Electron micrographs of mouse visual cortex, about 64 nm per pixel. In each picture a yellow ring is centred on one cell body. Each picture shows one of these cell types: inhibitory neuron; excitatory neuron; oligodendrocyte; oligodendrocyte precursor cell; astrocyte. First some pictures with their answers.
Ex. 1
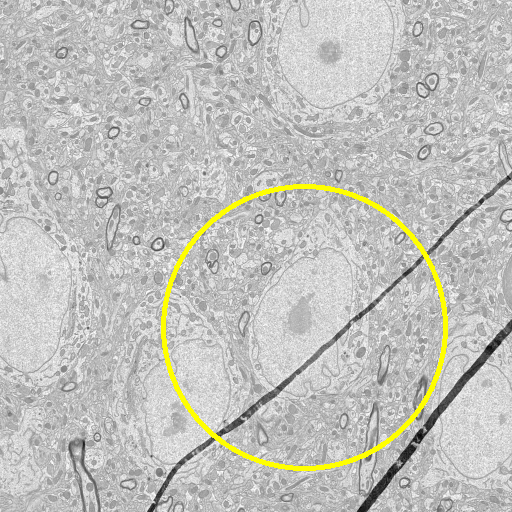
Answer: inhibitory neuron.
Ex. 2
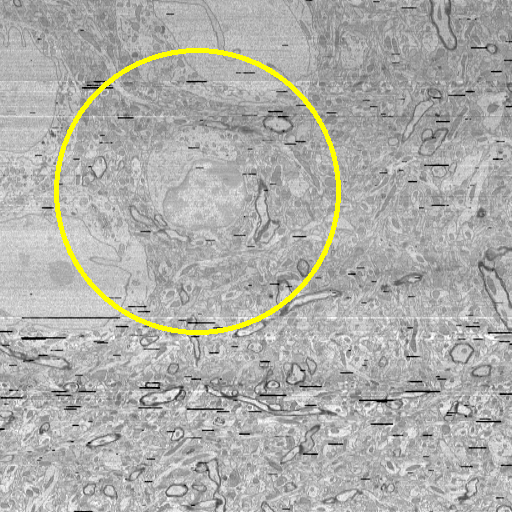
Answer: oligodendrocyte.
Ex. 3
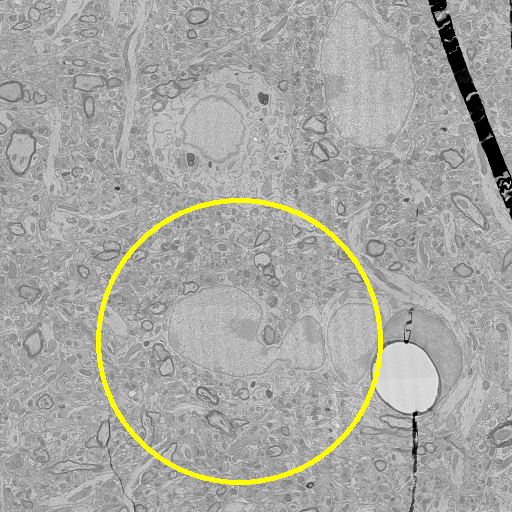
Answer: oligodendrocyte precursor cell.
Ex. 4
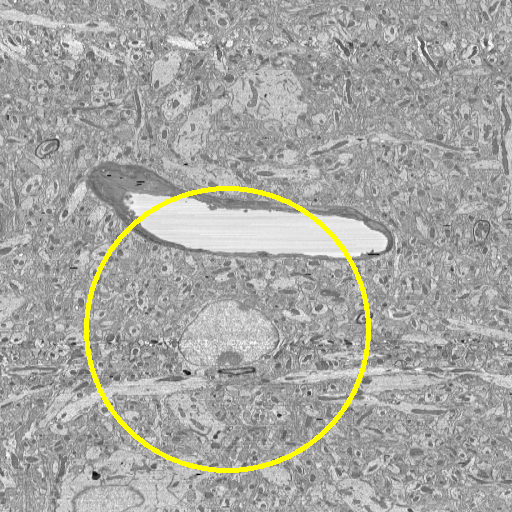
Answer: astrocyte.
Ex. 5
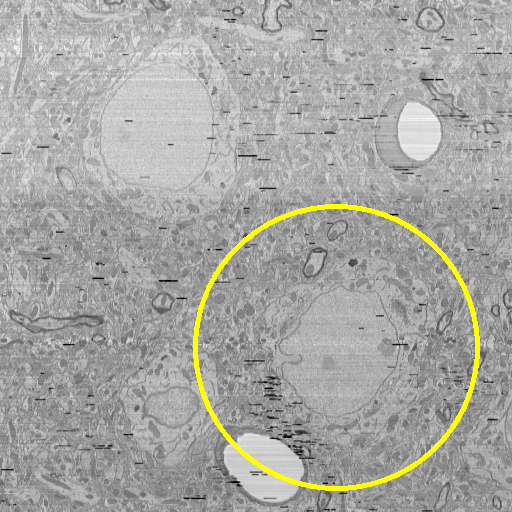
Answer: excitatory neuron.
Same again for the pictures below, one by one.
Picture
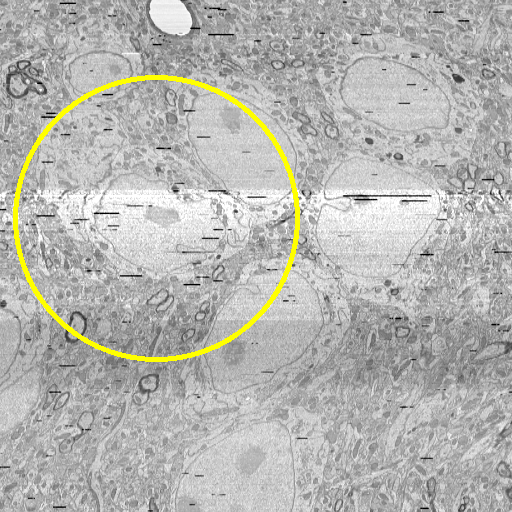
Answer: inhibitory neuron.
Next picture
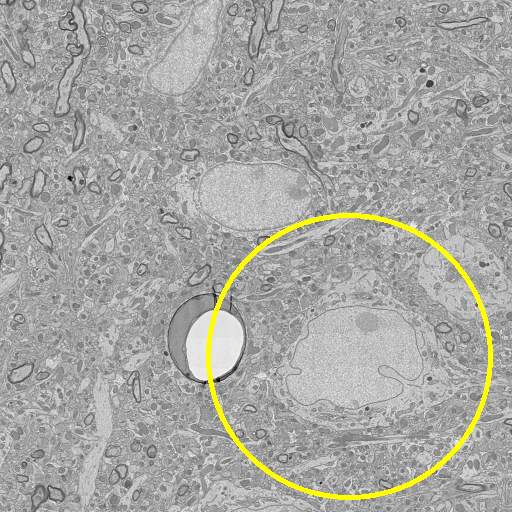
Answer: excitatory neuron.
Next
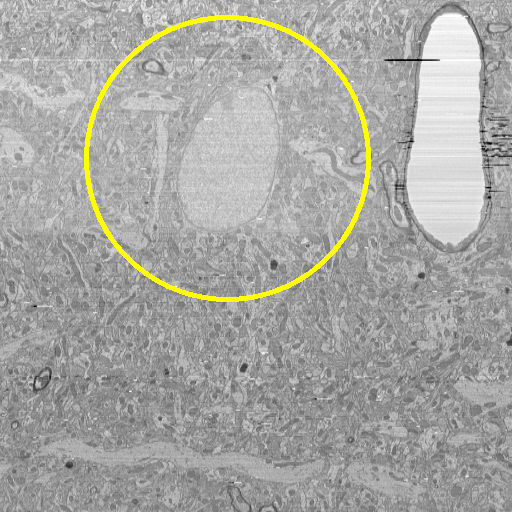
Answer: astrocyte.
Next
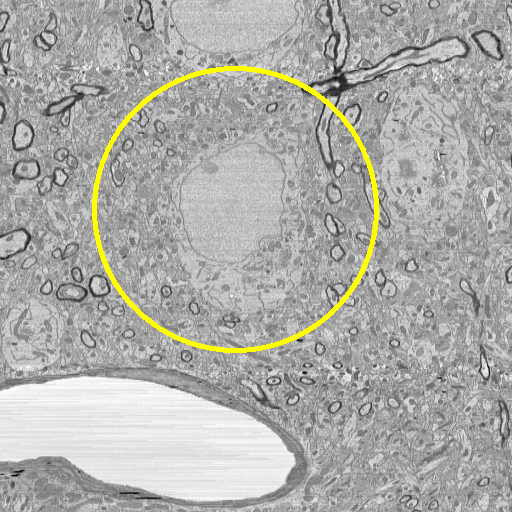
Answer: excitatory neuron.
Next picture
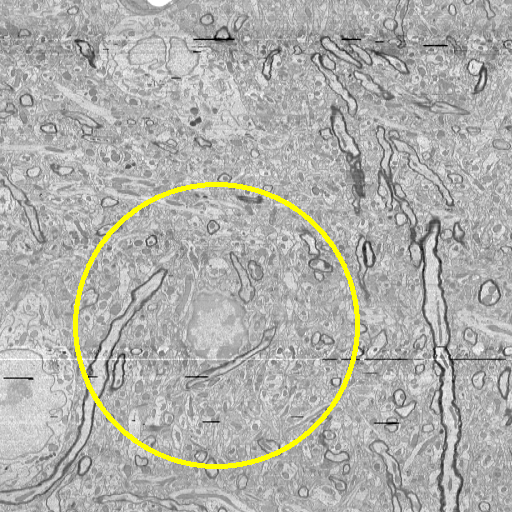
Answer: oligodendrocyte.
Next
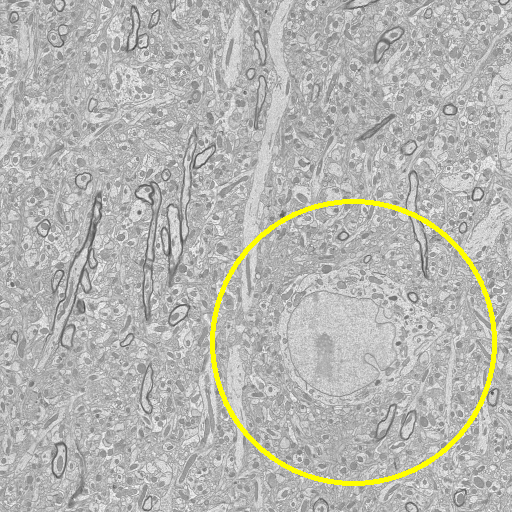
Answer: inhibitory neuron.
